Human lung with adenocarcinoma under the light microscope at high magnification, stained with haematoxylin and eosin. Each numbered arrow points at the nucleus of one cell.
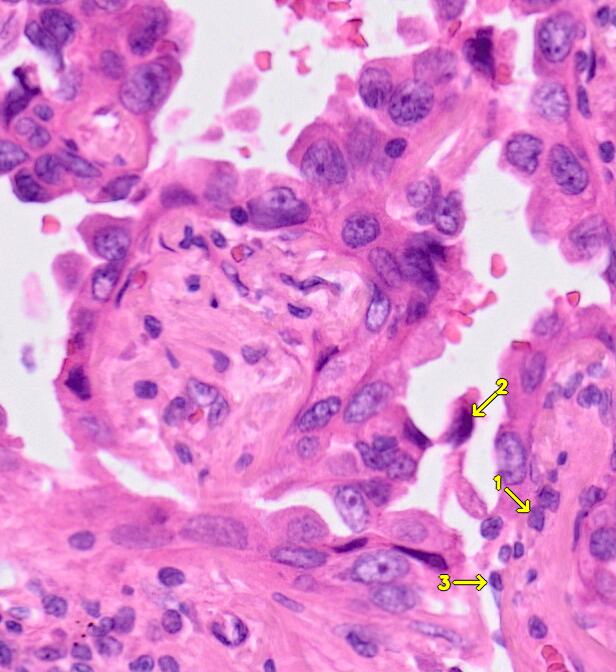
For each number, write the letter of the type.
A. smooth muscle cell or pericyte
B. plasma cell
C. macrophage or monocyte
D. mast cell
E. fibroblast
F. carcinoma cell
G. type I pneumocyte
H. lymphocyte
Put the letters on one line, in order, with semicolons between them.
H; F; H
